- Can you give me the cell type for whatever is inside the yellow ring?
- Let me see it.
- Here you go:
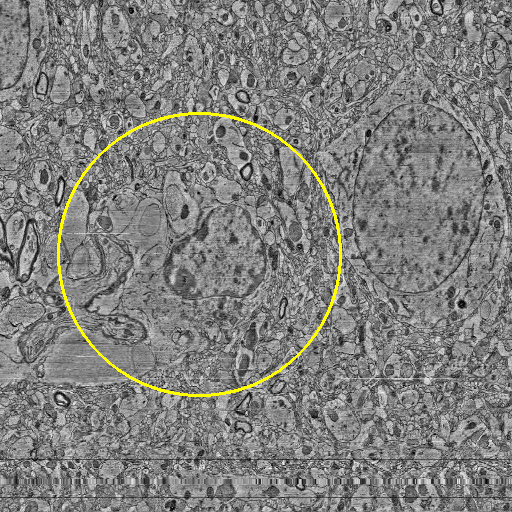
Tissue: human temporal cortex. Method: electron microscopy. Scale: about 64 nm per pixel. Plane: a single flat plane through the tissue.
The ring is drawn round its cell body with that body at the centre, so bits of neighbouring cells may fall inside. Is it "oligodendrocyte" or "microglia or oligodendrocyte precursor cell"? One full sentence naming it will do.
The cell body in the middle of the ring in this picture belongs to a microglial cell or oligodendrocyte precursor cell.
